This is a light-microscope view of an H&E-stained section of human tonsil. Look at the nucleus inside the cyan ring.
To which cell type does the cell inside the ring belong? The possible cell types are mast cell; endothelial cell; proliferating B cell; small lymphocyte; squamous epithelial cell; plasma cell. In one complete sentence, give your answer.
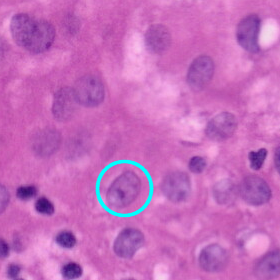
As a matter of cell type, the cell inside the ring is a squamous epithelial cell.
